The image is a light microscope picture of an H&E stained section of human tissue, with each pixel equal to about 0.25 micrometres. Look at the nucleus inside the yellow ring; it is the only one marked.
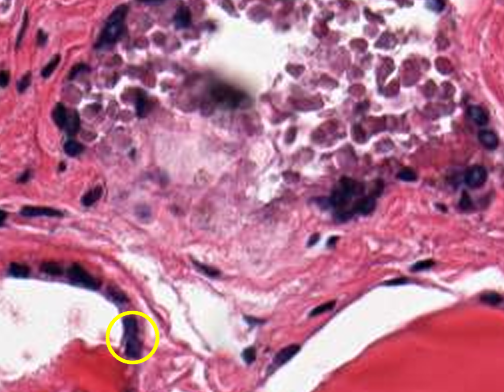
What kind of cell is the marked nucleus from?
thyroid follicular cell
